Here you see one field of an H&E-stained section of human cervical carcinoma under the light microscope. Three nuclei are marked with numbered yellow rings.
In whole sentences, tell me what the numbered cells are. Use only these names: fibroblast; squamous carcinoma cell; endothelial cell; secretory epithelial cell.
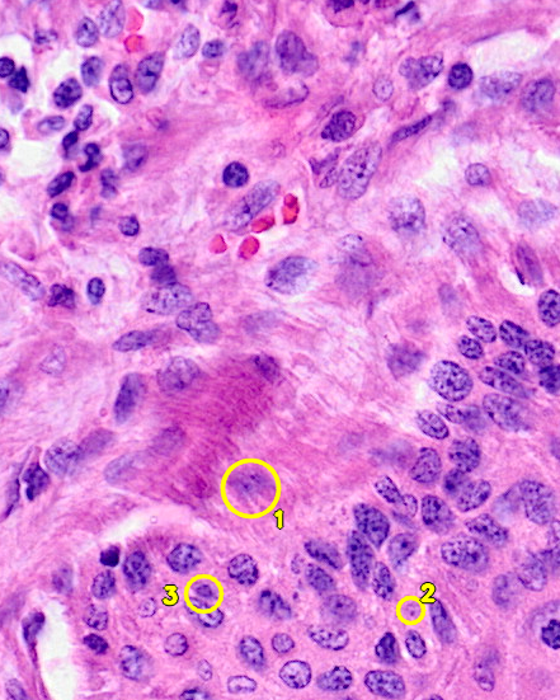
Cell 1 is a fibroblast. Cells 2 and 3 are squamous carcinoma cells.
